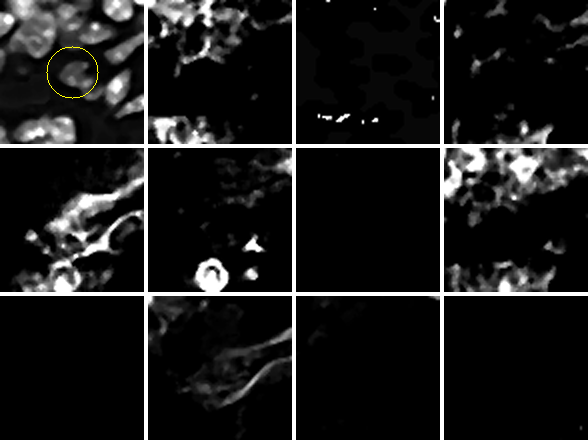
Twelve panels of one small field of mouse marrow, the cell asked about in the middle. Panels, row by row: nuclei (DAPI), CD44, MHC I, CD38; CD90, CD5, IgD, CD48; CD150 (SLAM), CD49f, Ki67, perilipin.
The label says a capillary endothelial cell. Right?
Right.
